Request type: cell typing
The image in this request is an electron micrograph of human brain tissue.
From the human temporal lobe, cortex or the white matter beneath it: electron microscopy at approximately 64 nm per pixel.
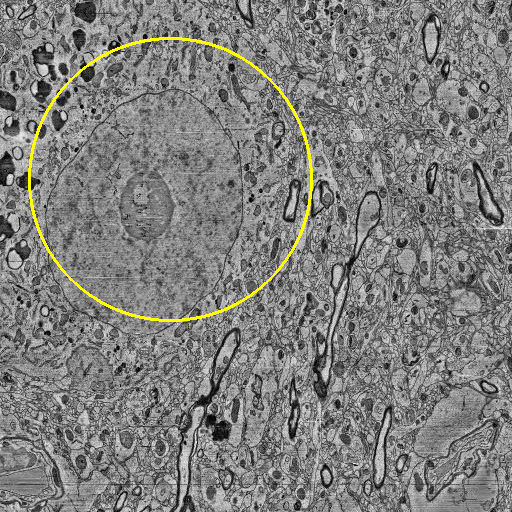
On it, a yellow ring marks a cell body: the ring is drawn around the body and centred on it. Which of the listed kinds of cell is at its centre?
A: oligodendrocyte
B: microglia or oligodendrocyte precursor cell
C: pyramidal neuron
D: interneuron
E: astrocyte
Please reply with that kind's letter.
C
